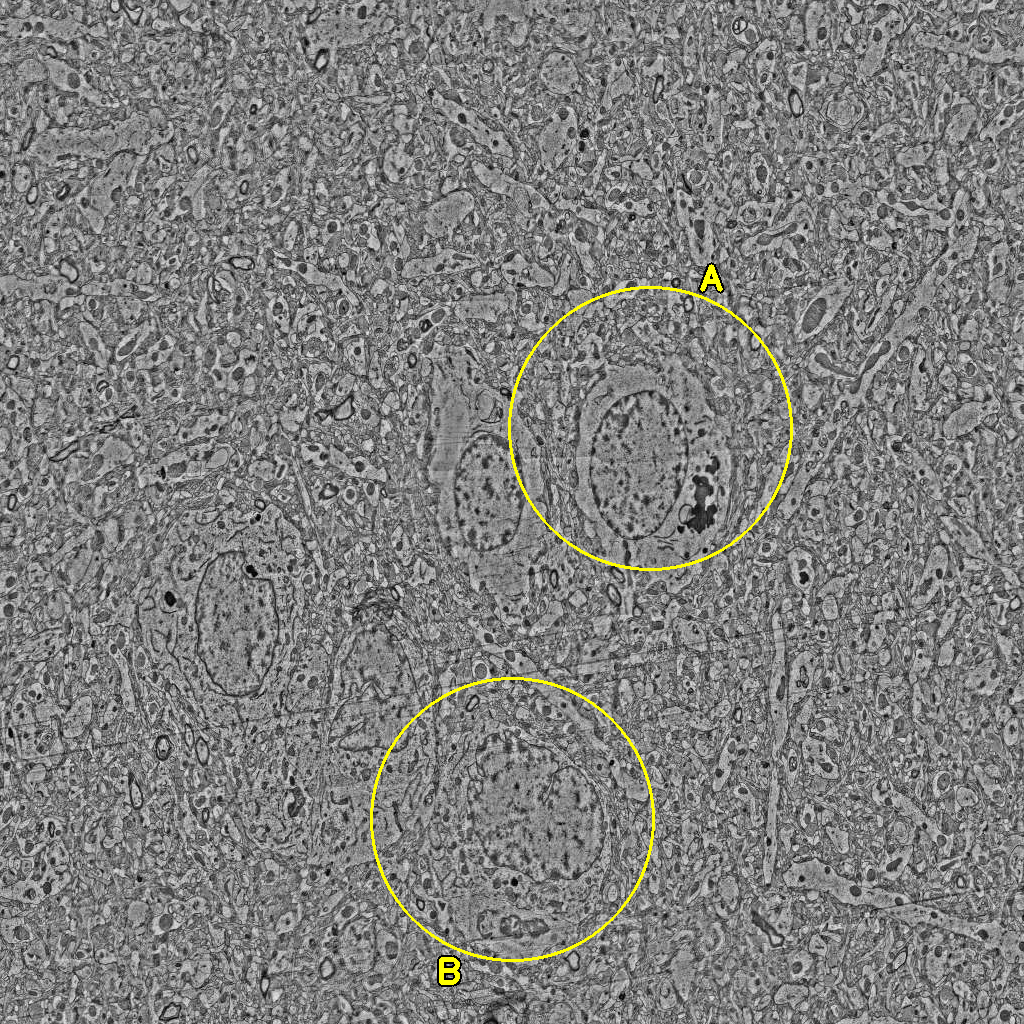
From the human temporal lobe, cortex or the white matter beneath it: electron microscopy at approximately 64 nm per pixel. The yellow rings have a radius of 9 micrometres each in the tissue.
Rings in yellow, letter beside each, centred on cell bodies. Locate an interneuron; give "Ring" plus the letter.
Ring B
